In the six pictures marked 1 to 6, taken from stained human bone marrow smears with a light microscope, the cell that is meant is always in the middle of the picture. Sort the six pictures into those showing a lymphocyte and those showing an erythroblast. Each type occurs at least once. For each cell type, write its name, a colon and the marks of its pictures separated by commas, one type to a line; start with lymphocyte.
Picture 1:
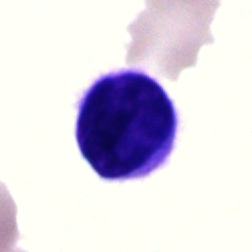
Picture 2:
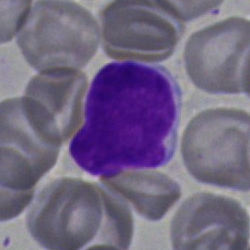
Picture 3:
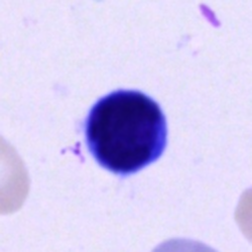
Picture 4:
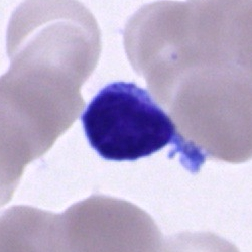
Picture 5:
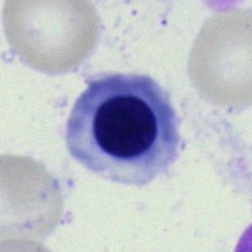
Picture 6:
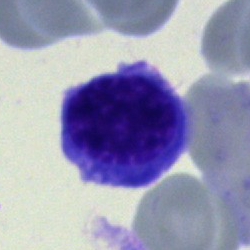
lymphocyte: 1, 2, 3, 4
erythroblast: 5, 6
